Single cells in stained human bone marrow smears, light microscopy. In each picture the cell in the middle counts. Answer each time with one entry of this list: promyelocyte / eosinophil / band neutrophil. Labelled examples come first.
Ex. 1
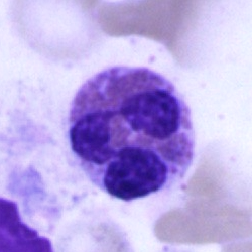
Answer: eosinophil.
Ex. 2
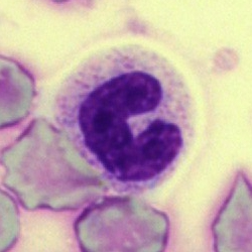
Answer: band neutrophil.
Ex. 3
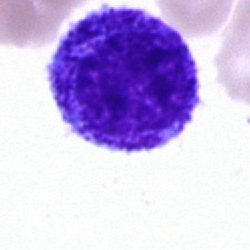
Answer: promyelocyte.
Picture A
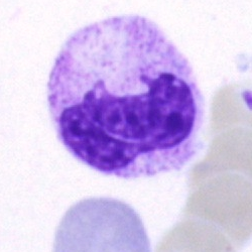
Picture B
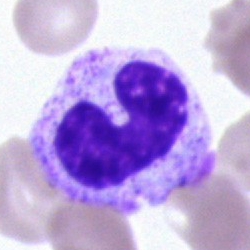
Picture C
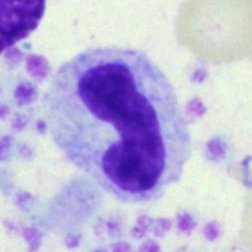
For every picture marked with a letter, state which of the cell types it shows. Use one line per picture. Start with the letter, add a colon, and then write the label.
A: band neutrophil.
B: band neutrophil.
C: band neutrophil.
